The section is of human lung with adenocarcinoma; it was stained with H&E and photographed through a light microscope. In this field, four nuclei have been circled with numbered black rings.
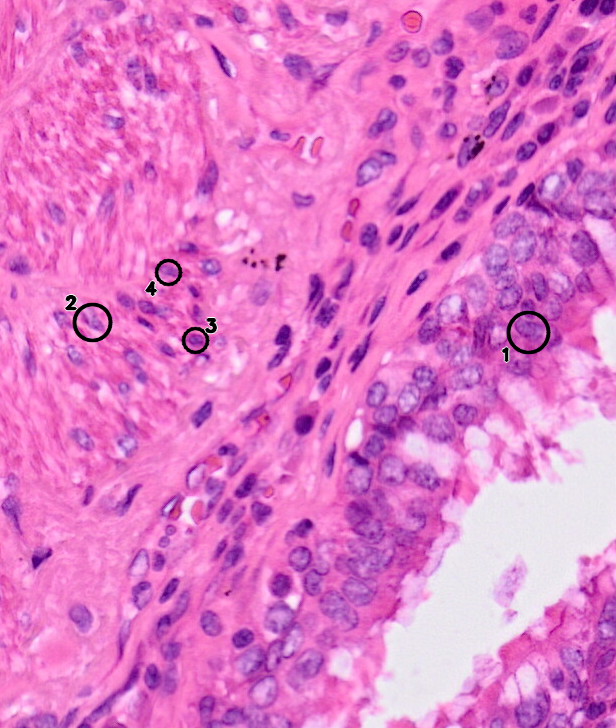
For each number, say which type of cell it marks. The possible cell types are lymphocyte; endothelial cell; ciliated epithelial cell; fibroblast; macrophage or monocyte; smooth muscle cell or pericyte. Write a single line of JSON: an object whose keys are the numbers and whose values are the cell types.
{"1": "ciliated epithelial cell", "2": "smooth muscle cell or pericyte", "3": "smooth muscle cell or pericyte", "4": "smooth muscle cell or pericyte"}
